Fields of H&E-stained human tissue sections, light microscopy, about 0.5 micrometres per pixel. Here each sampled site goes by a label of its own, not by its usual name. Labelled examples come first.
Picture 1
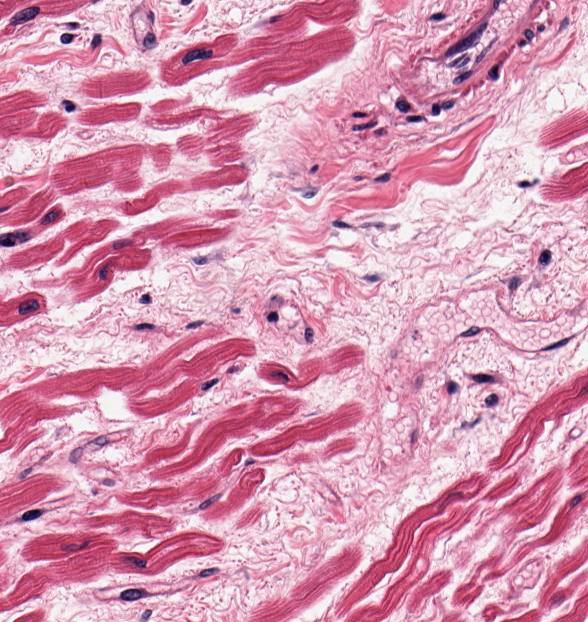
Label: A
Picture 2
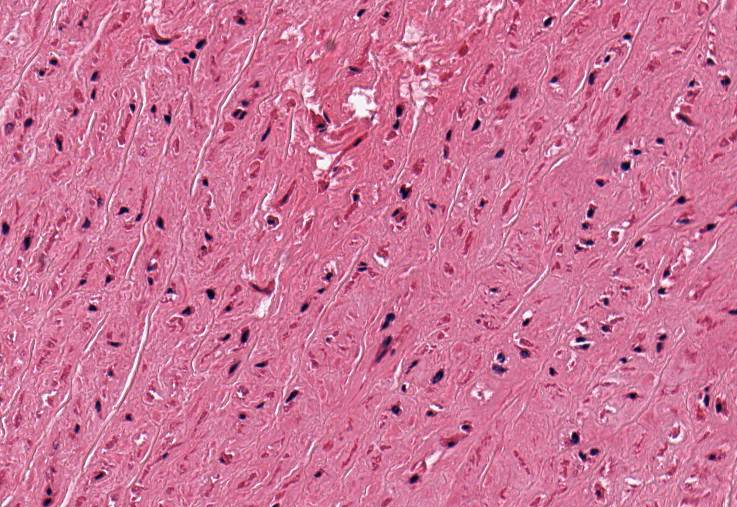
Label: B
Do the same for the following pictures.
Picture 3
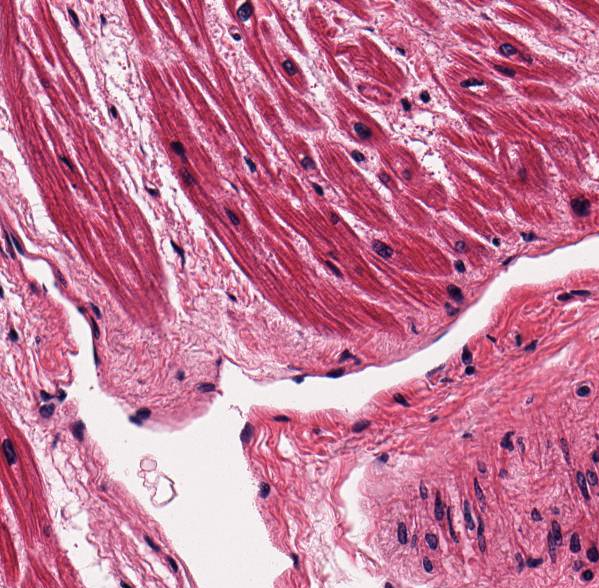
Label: A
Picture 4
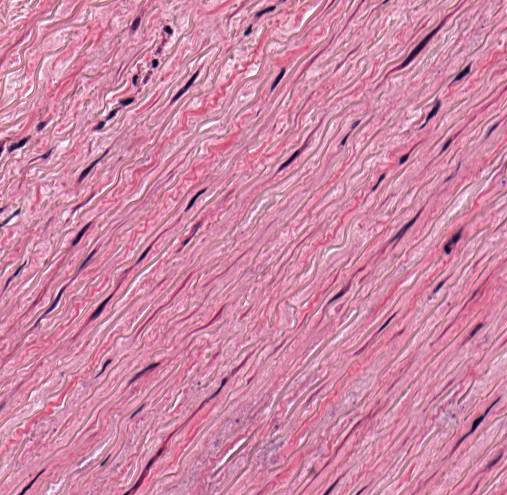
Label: B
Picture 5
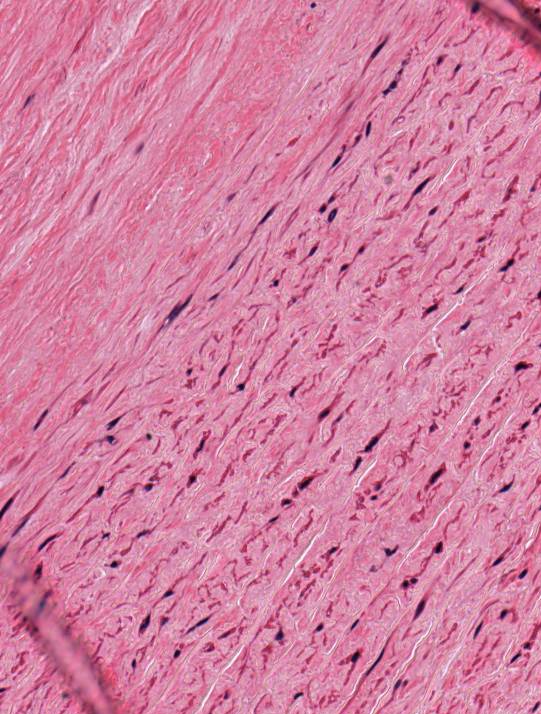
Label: B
